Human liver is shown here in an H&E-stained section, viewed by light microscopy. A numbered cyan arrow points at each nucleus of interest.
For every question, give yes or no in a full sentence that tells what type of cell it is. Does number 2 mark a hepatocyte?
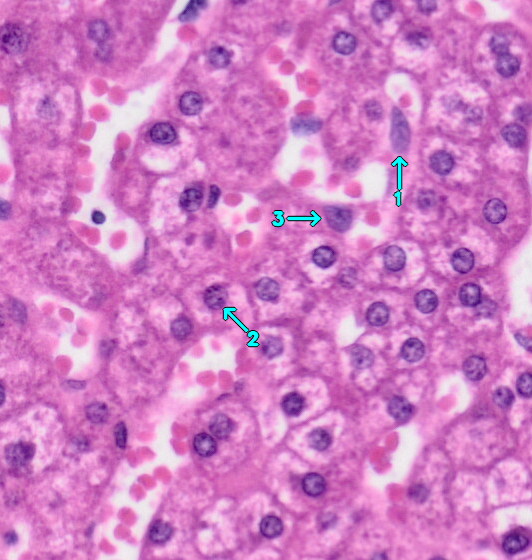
Yes, the cell at number 2 is a hepatocyte.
